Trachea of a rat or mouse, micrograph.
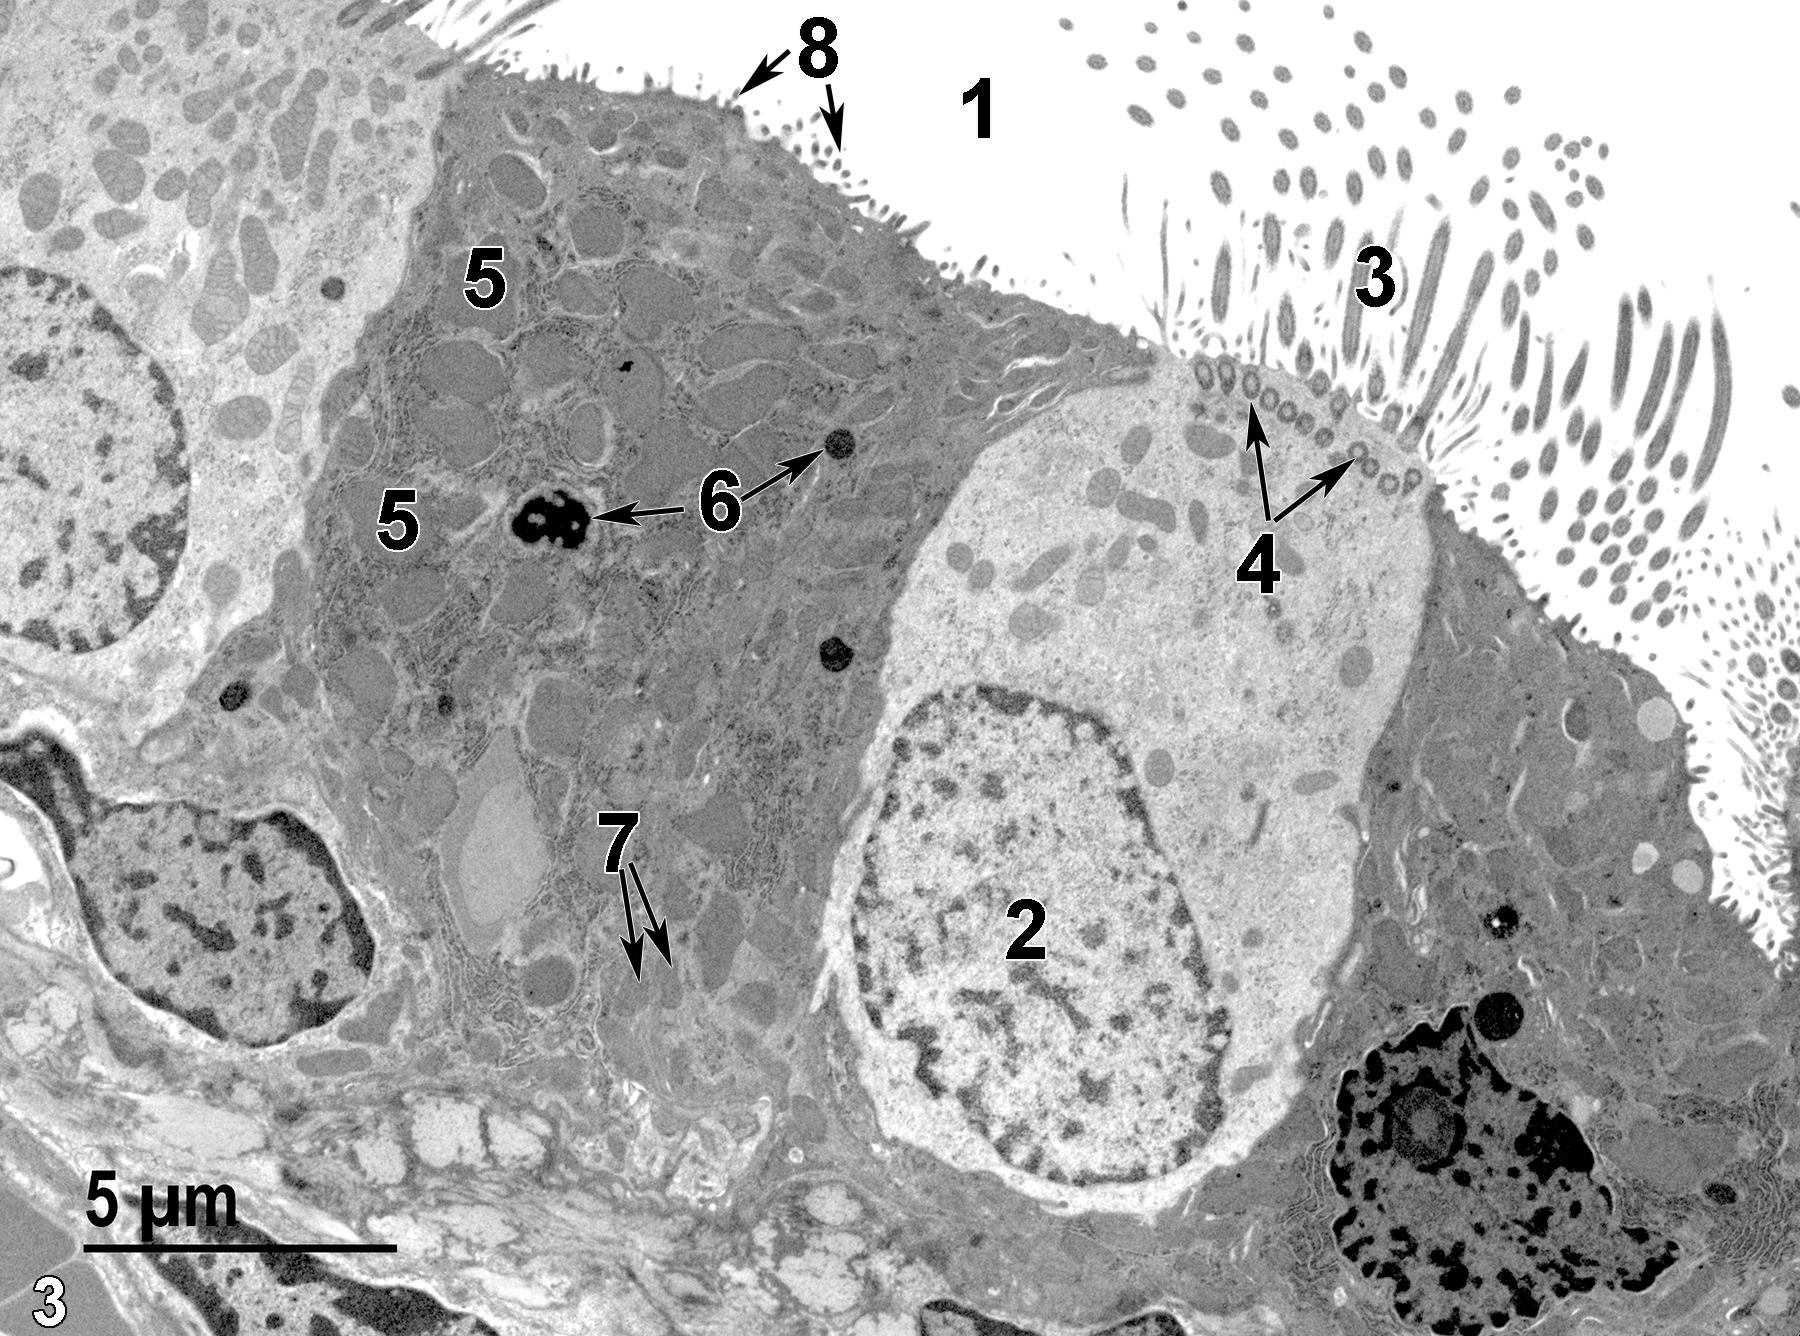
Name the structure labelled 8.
Short microvilli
